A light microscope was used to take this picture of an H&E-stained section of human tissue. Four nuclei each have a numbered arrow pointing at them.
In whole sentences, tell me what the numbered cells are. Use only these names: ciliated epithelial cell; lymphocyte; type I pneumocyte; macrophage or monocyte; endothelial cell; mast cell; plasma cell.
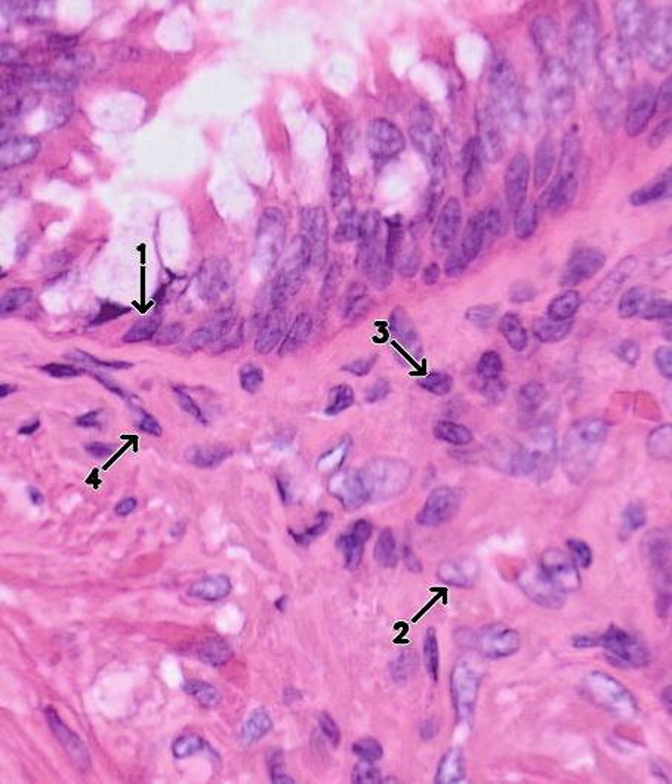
Cell 1 is a ciliated epithelial cell. Cell 2 is an endothelial cell. Cell 3 is a plasma cell. Cell 4 is a mast cell.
